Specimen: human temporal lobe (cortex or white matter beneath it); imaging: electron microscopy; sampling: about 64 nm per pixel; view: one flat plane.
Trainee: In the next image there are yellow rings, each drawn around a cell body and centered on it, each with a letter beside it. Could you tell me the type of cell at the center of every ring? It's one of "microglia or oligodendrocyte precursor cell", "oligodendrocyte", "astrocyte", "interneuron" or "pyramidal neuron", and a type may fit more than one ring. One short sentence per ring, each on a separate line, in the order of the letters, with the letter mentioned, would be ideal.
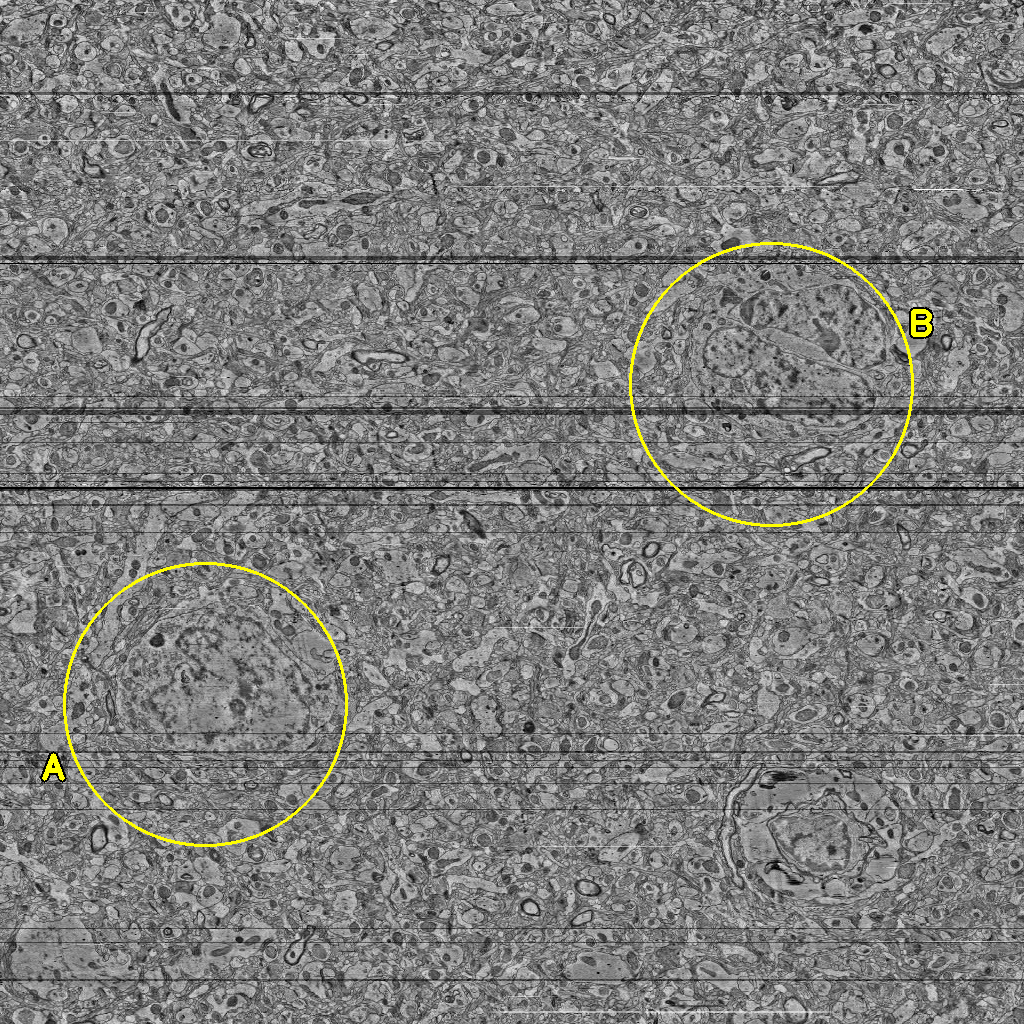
What ring A is centered on is an interneuron.
What ring B is centered on is an interneuron.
